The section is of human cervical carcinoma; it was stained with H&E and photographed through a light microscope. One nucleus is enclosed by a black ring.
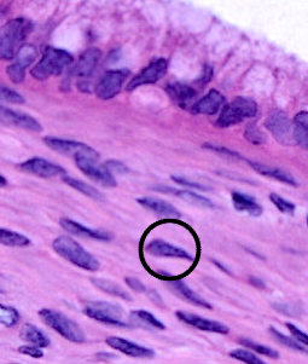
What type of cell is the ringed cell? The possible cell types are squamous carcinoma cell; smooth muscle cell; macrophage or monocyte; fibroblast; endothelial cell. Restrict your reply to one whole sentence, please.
In cell-type terms, the ringed cell is a fibroblast.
